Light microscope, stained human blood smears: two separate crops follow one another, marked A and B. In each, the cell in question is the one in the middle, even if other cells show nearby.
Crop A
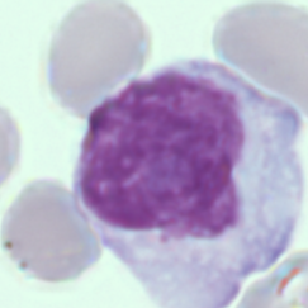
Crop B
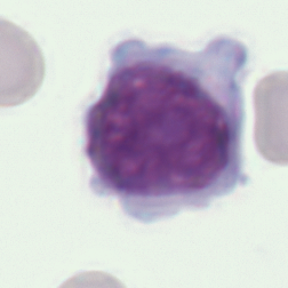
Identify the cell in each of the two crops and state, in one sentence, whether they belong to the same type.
Yes, the two cells in the two crops are plasma cells.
